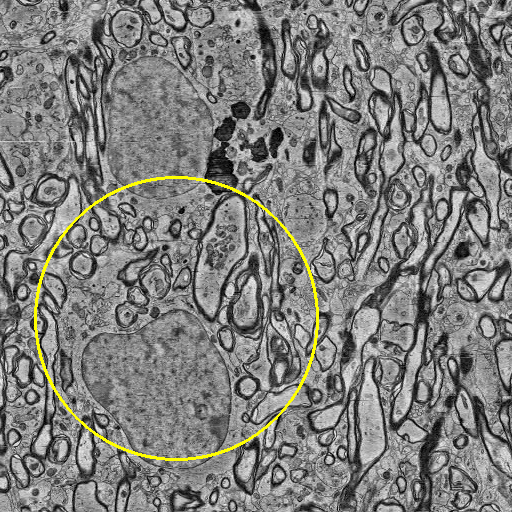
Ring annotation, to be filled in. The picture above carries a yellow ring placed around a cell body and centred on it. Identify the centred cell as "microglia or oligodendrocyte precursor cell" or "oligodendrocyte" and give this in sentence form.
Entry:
The cell in the middle of the ring is a microglial cell or oligodendrocyte precursor cell.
